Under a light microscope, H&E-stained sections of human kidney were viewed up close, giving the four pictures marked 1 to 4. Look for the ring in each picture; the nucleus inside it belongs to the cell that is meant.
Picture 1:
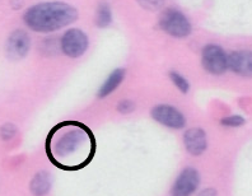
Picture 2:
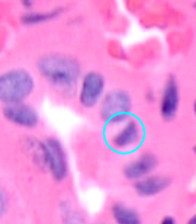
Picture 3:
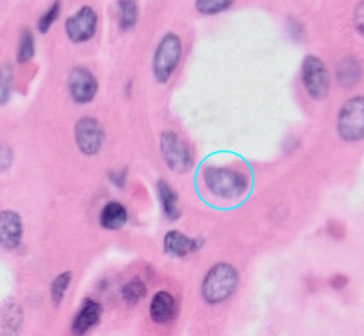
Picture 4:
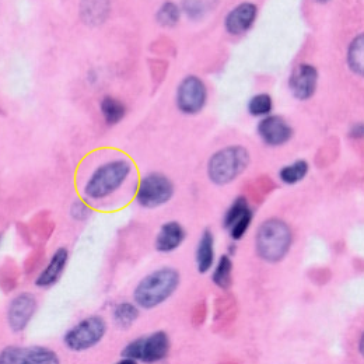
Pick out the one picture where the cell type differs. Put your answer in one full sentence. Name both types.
Picture 3 differs, because its cell is a “loop of Henle or distal tubule cell” and the rest are collecting duct cells.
